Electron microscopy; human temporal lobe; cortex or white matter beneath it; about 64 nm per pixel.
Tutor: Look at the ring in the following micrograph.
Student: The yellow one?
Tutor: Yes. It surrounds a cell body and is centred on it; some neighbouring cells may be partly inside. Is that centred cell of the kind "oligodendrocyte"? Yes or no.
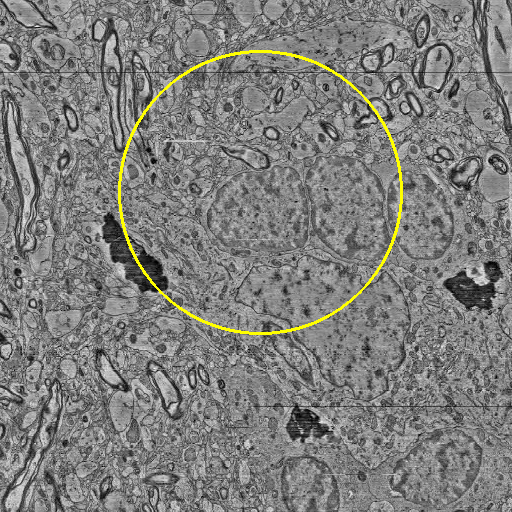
yes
